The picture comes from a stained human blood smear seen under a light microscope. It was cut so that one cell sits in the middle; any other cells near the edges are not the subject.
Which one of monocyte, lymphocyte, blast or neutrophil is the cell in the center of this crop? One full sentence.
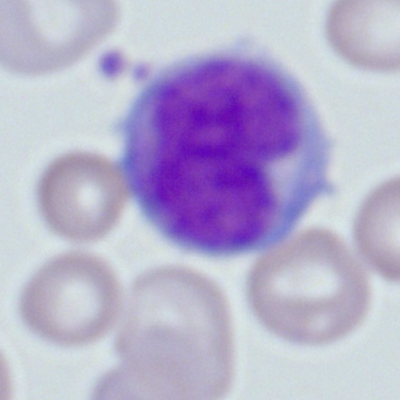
What sits at the centre of this crop is a monocyte.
